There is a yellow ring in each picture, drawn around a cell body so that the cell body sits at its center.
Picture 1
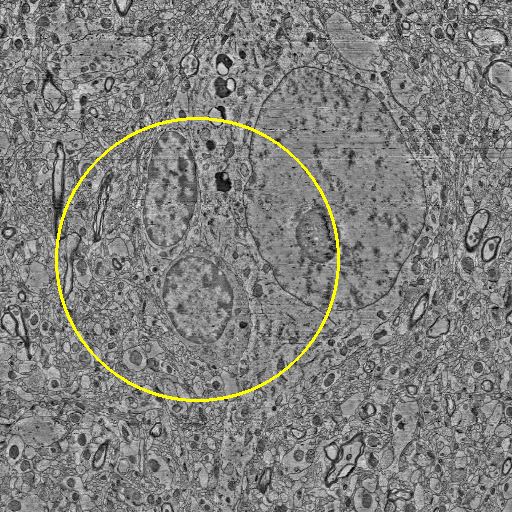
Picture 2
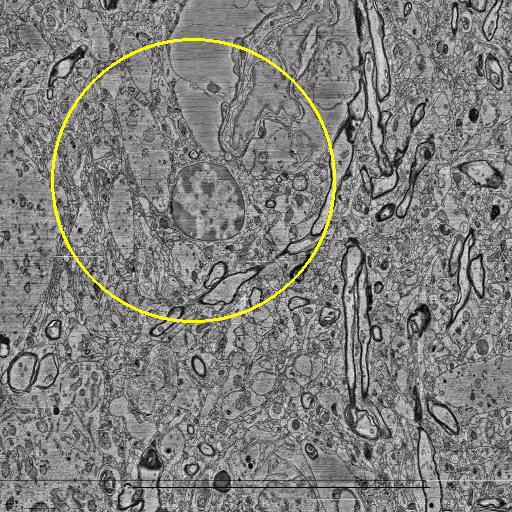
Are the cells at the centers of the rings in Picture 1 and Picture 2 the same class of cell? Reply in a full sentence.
No, the two cells are two classes of cell.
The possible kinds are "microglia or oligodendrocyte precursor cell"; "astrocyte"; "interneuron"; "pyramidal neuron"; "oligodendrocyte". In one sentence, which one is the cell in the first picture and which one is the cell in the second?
The cell ringed in the second picture is a microglial cell or oligodendrocyte precursor cell, whereas the one ringed in the first is an oligodendrocyte.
